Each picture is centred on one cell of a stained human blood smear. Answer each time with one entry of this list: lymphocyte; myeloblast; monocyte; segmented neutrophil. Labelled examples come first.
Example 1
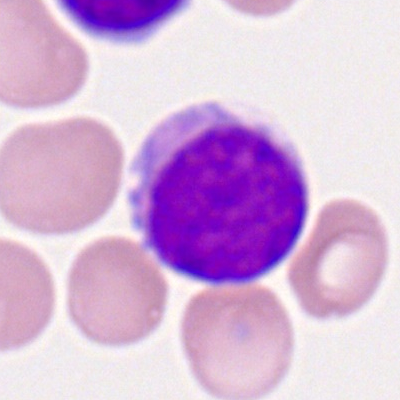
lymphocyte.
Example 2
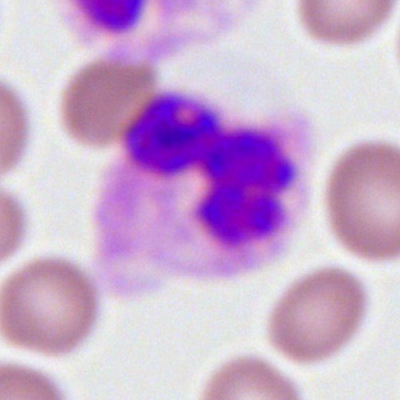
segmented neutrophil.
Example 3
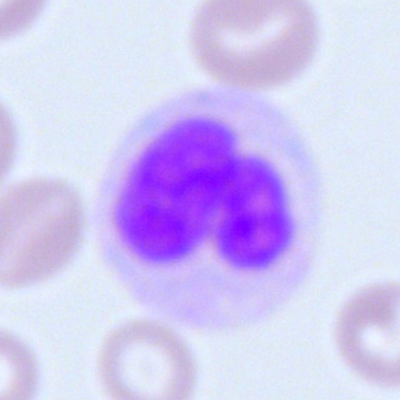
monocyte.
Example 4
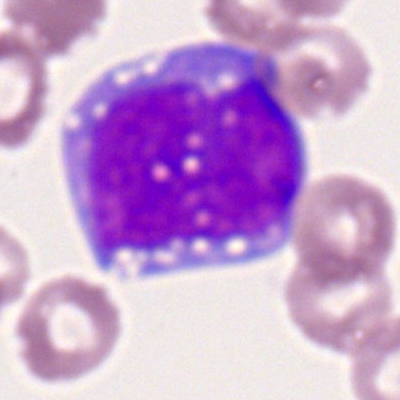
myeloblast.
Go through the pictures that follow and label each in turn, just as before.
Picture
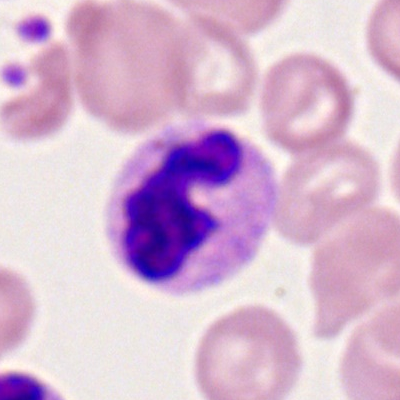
segmented neutrophil.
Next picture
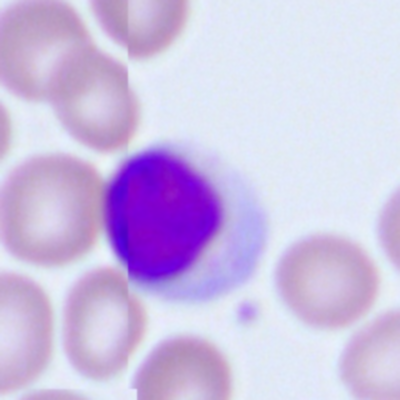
lymphocyte.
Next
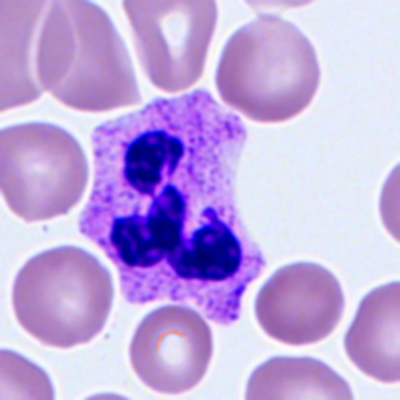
segmented neutrophil.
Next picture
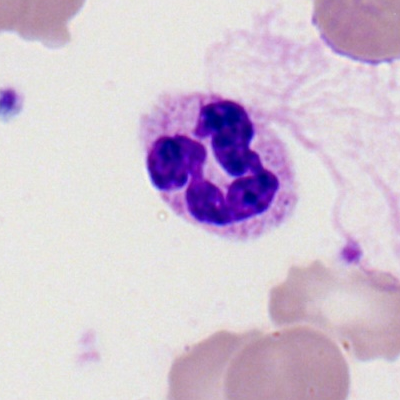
segmented neutrophil.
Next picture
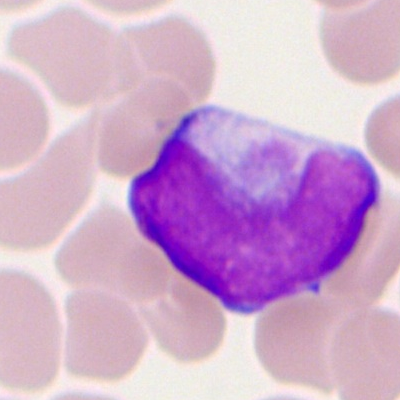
myeloblast.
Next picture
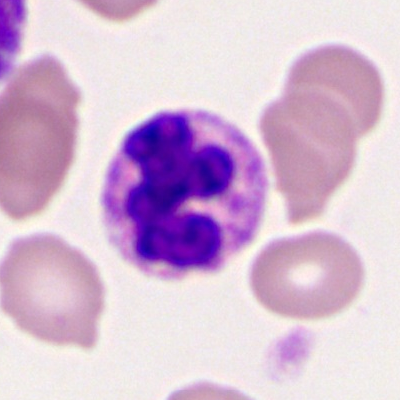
segmented neutrophil.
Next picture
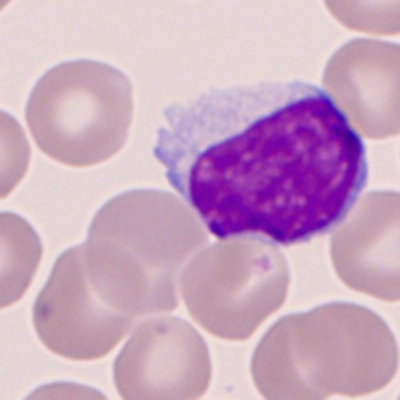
lymphocyte.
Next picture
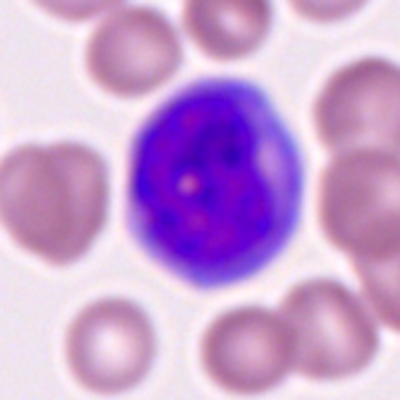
monocyte.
